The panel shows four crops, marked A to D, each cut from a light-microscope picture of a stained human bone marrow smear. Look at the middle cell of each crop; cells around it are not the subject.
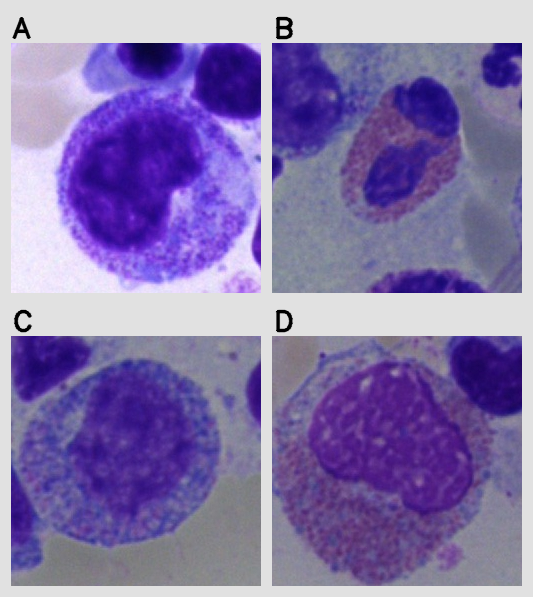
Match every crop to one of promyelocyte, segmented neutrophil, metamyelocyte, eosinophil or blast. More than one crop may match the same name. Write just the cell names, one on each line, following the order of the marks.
promyelocyte
eosinophil
promyelocyte
eosinophil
